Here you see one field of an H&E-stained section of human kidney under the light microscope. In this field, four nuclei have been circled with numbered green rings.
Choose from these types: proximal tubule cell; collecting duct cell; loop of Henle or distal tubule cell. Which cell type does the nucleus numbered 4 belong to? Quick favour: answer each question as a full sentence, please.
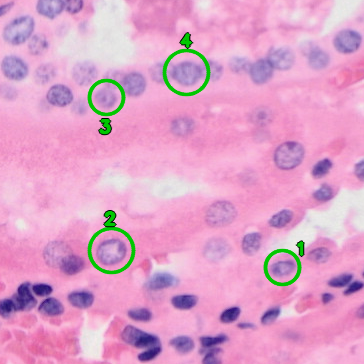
Recognised here as a collecting duct cell is the cell numbered 4.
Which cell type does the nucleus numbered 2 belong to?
Identified by the number 2, the cell is a proximal tubule cell.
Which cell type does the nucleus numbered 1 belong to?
Cell 1, as marked in the section, is a loop of Henle or distal tubule cell.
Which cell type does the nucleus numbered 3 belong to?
Cell 3 of the marked set is a collecting duct cell.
